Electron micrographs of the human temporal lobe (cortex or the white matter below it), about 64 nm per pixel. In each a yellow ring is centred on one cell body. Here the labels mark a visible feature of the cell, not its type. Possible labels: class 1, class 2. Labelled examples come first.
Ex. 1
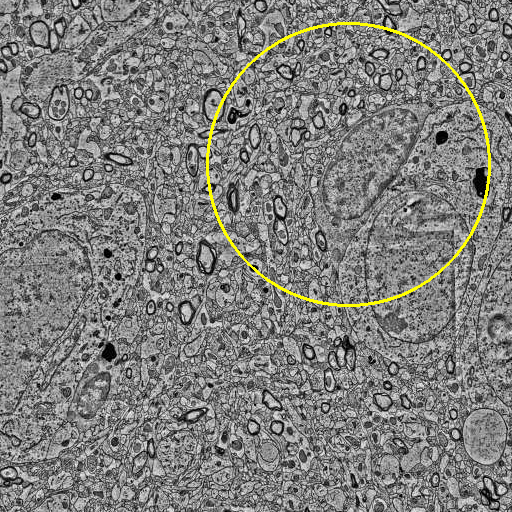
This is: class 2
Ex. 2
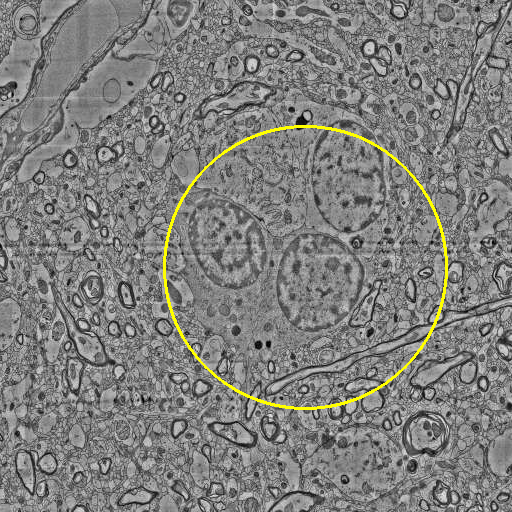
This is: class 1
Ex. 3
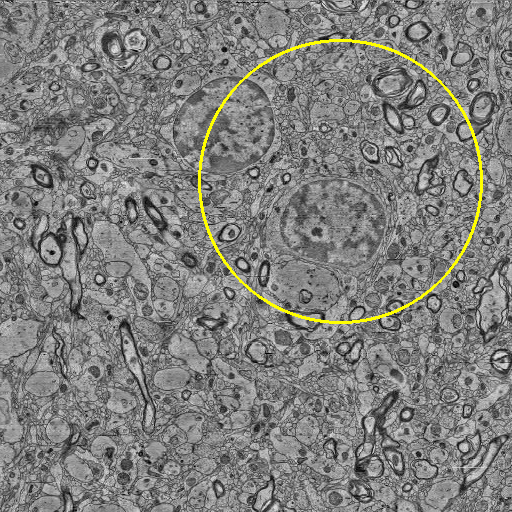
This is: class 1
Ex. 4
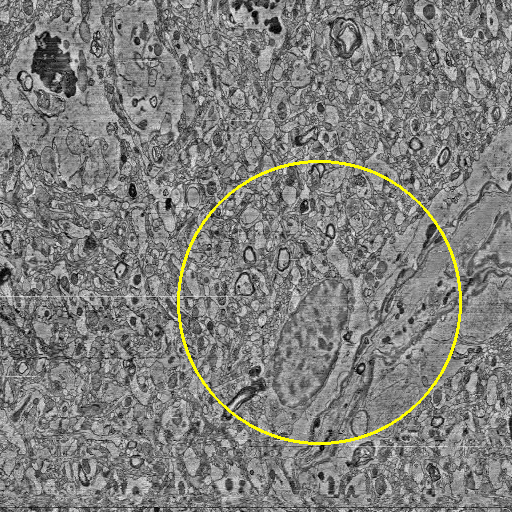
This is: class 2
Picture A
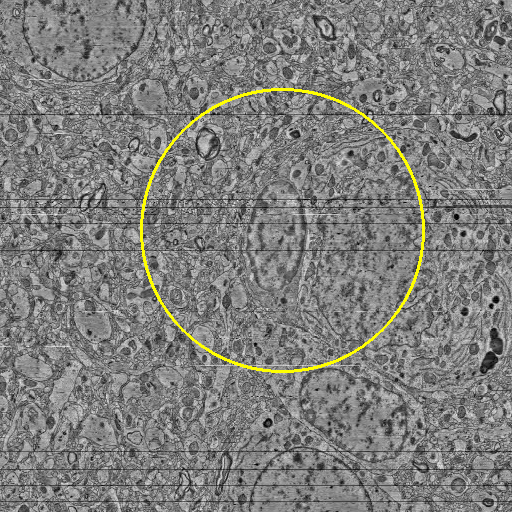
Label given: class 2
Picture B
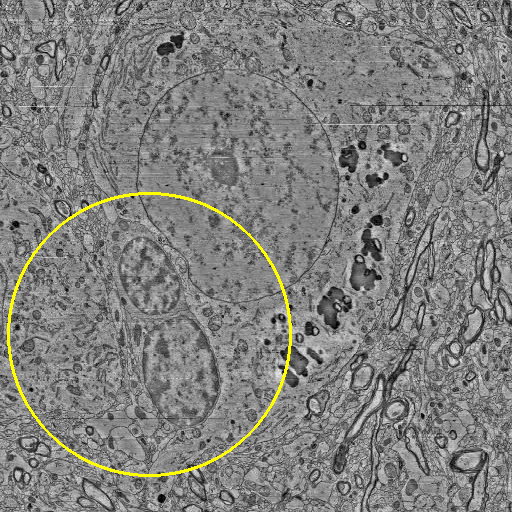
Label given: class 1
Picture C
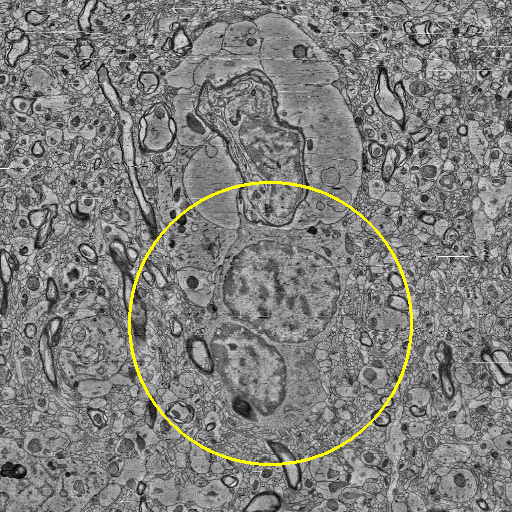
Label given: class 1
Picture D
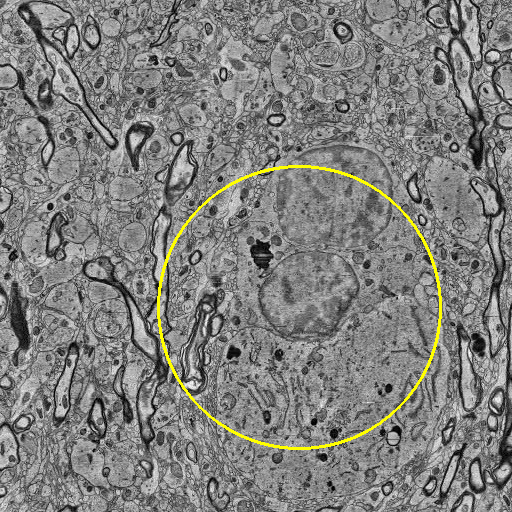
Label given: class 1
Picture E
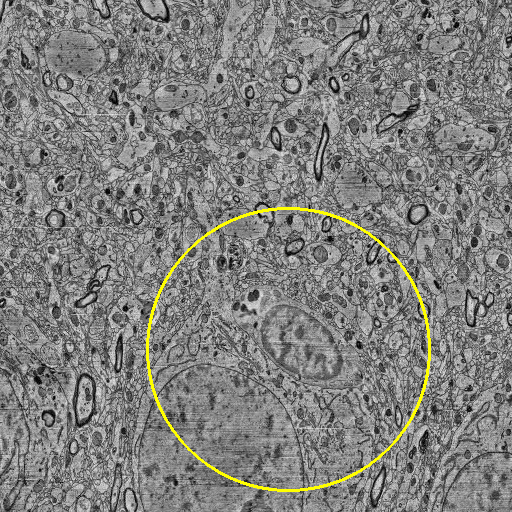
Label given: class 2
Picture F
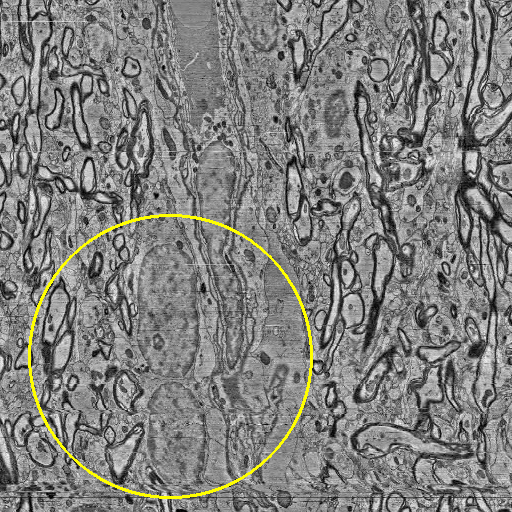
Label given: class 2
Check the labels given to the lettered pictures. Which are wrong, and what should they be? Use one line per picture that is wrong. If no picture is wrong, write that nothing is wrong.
B: change class 1 to class 2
